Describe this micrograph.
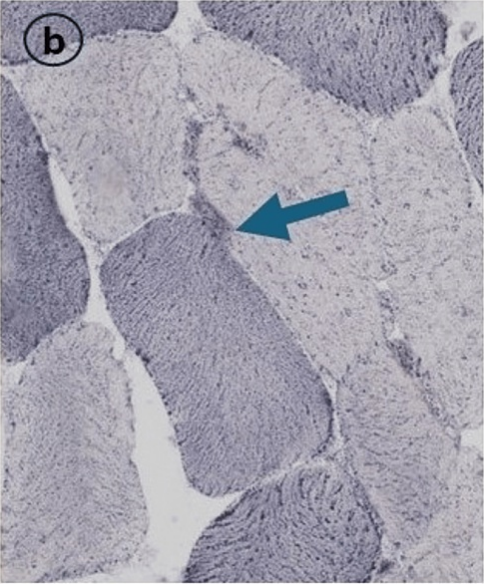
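Staining is blue-purple. It varies from fiber to fiber: some fibers are dark, and others are pale with fine dotted texture. Within the fibers a fine, granular, network-like pattern can be made out. At the arrow, the edge of a fiber just beneath its border shows a darker purple deposit along the fiber margin.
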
